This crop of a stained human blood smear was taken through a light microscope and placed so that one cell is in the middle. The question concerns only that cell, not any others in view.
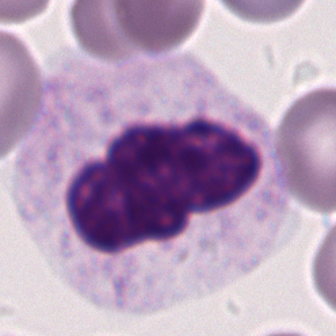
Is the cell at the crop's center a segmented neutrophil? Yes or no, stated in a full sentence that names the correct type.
Yes, the cell that the crop is centred on is a segmented neutrophil.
